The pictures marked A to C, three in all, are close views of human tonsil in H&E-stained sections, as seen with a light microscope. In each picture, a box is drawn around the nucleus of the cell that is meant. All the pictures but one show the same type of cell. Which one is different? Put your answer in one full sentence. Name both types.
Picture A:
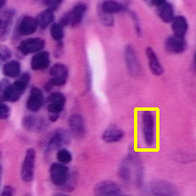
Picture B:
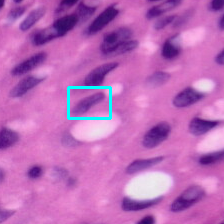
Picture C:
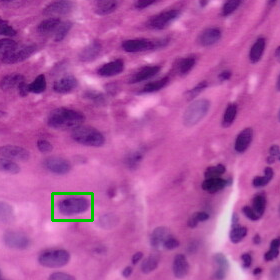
Picture A differs, because its cell is a mast cell and the rest are squamous epithelial cells.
